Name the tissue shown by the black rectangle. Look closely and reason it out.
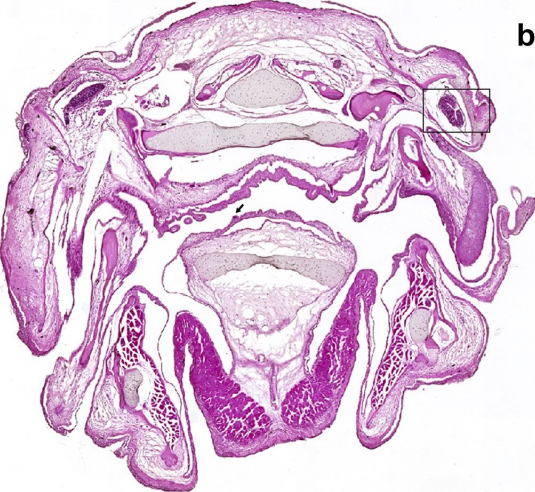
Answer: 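The small rectangle at the upper right frames a dark purple, densely nucleated epithelial structure around a small cavity. It lies in the dorsolateral part of the head section. On this evidence: olfactory epithelium.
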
